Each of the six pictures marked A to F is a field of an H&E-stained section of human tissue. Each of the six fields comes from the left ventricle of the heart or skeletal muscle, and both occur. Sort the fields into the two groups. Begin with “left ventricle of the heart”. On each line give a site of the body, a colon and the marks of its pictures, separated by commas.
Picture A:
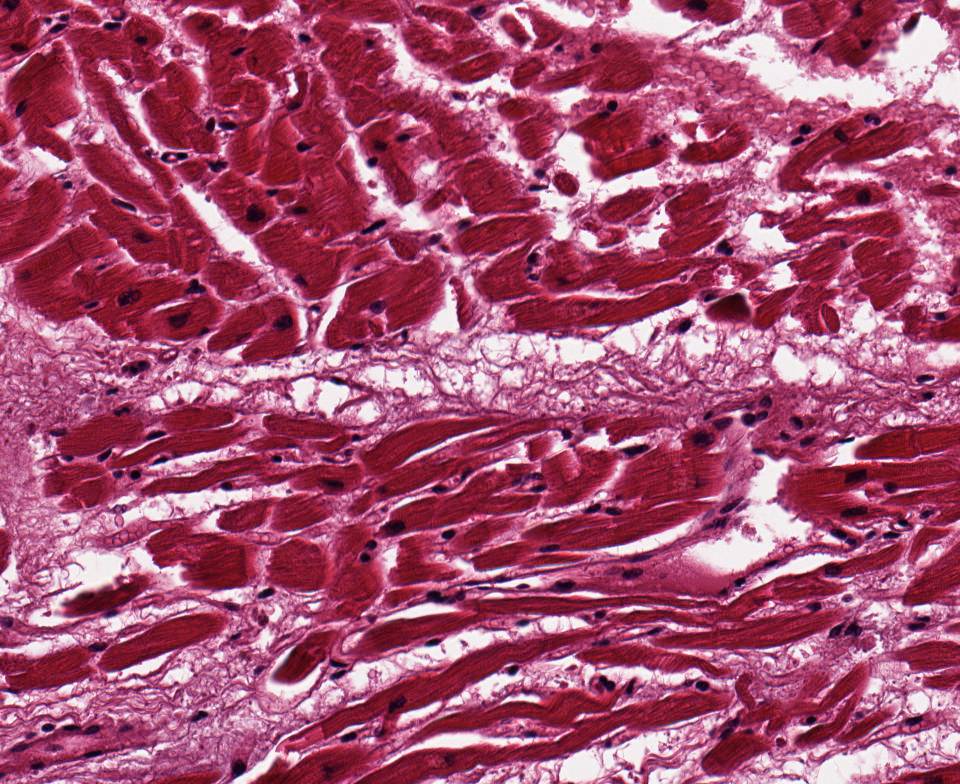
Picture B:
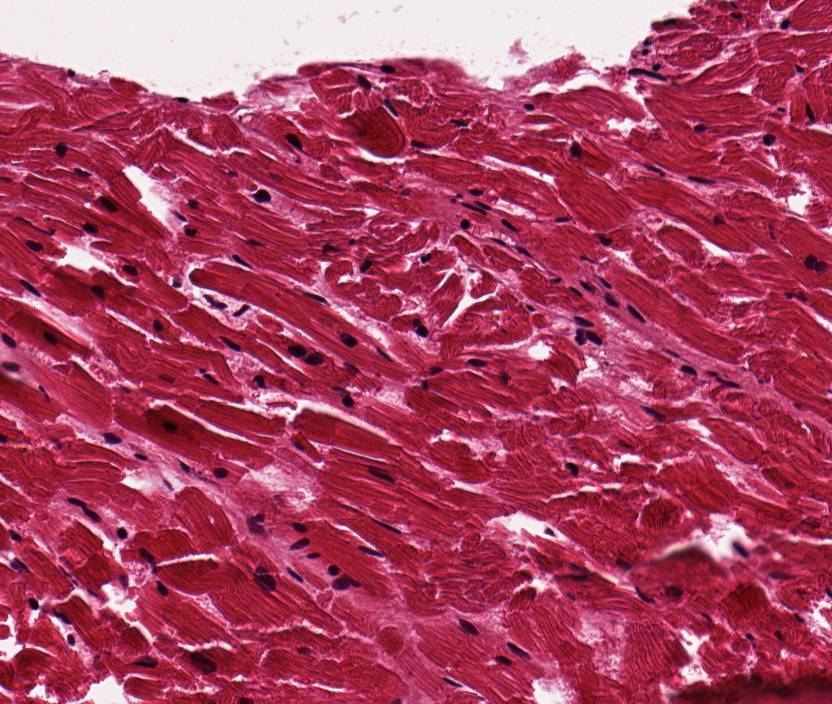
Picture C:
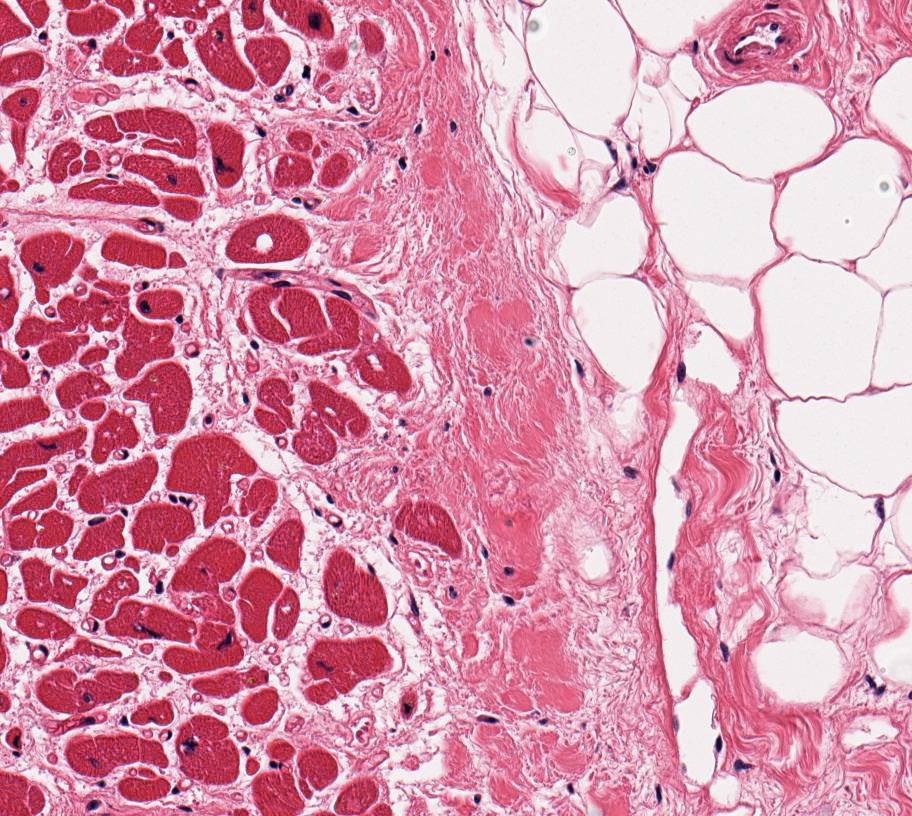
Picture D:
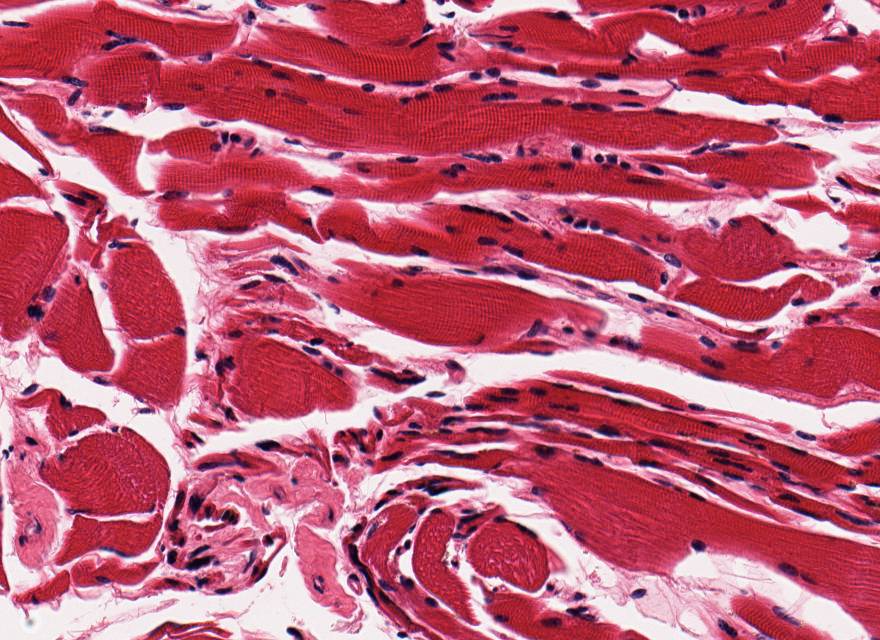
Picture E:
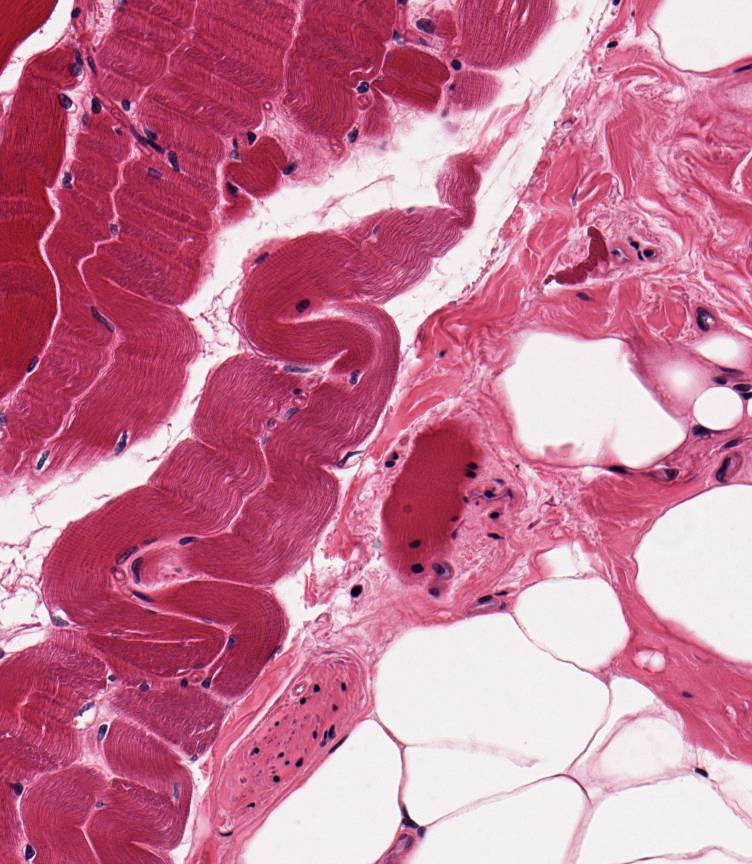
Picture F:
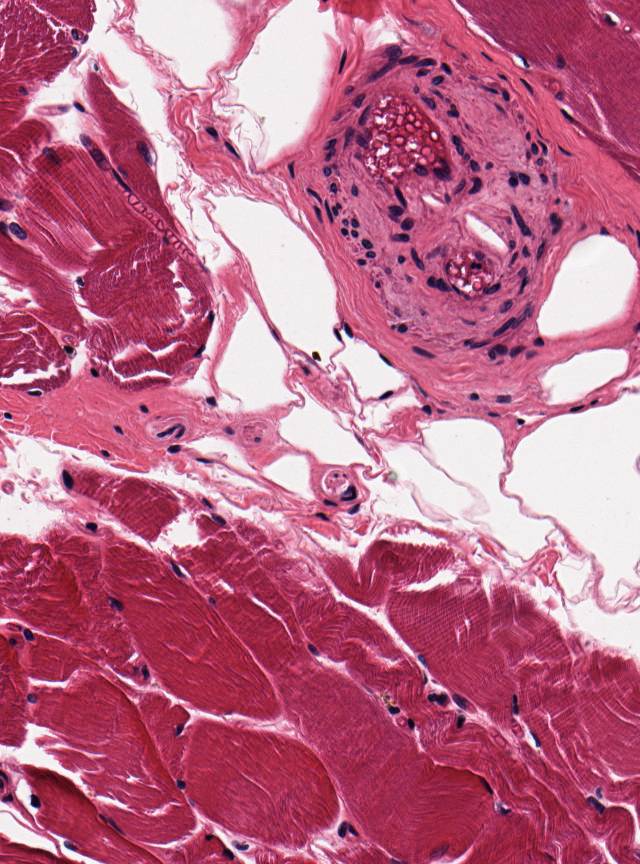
left ventricle of the heart: A, B, C
skeletal muscle: D, E, F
